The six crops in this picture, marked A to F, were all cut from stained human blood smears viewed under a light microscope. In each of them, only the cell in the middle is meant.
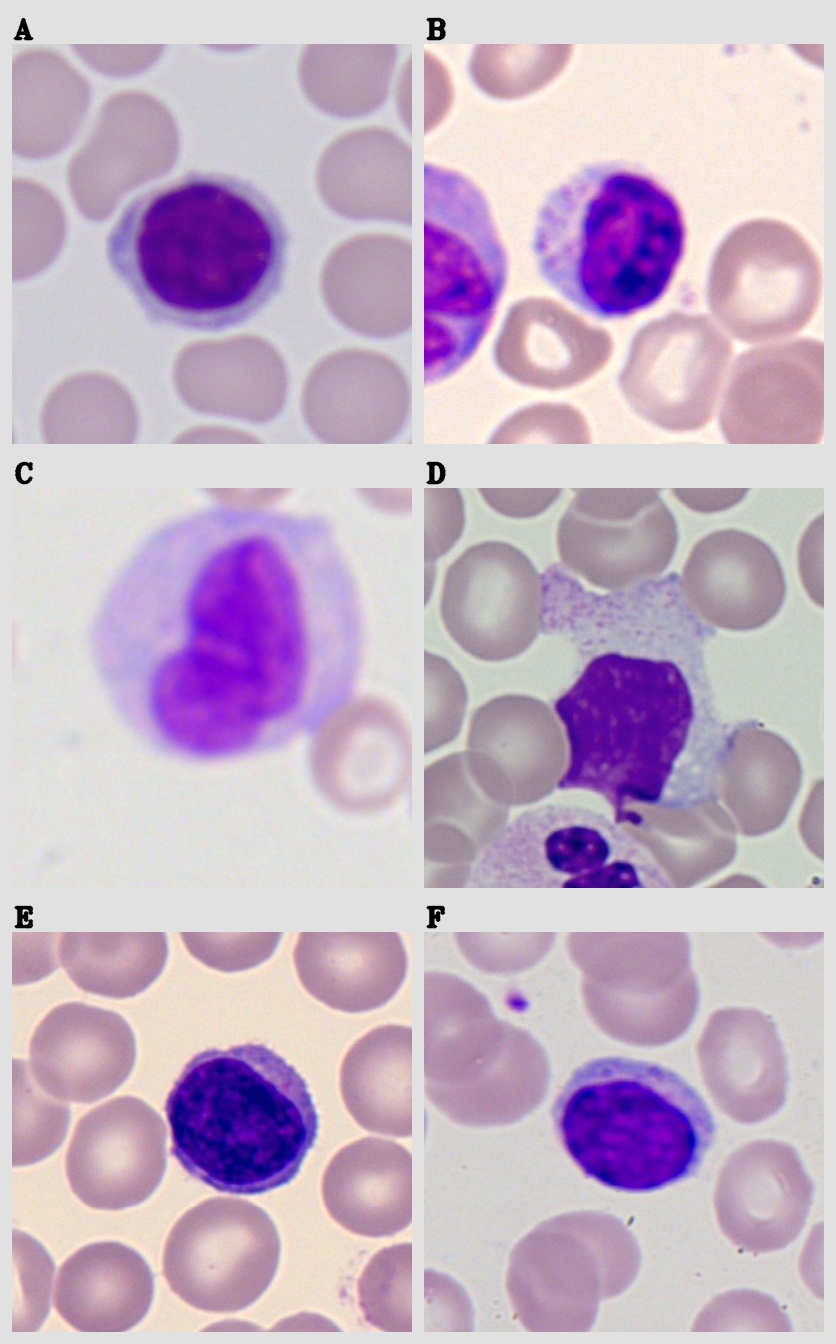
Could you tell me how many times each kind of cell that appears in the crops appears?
lymphocyte: 5
monocyte: 1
